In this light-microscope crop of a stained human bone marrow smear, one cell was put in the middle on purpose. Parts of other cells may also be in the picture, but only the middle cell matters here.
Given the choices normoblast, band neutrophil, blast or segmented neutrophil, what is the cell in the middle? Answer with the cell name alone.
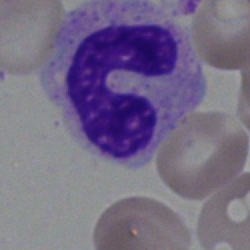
band neutrophil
